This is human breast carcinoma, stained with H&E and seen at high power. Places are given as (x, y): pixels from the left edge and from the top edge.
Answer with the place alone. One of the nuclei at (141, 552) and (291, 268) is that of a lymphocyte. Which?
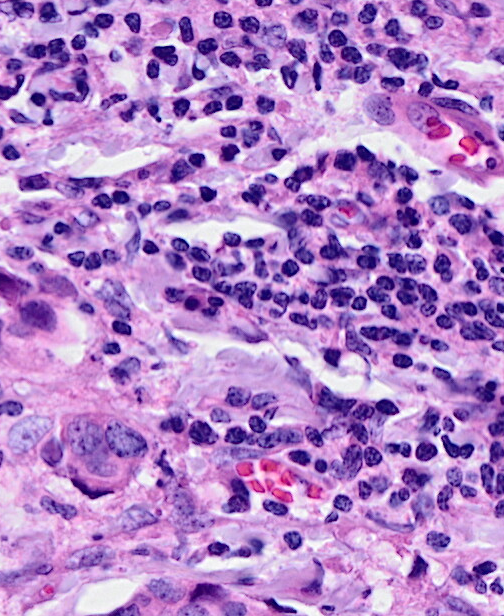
(291, 268)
